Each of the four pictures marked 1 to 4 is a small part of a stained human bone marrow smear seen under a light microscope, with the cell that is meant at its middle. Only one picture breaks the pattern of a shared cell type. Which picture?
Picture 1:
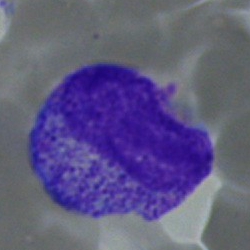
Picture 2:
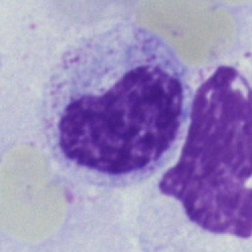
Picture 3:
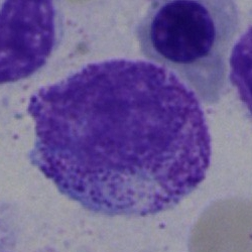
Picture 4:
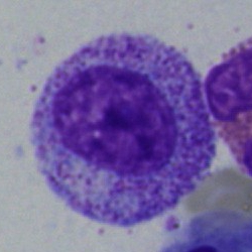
2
